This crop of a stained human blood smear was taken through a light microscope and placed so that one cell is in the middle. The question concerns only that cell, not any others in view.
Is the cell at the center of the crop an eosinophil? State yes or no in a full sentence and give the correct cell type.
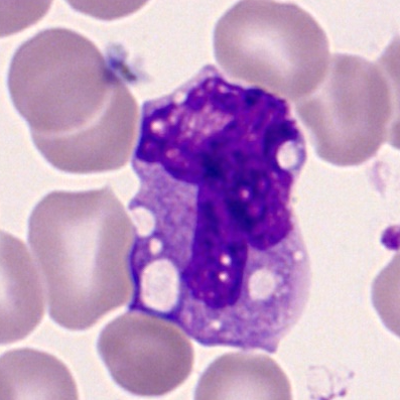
No, the cell in the centre of the crop is a monocyte as opposed to an eosinophil.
